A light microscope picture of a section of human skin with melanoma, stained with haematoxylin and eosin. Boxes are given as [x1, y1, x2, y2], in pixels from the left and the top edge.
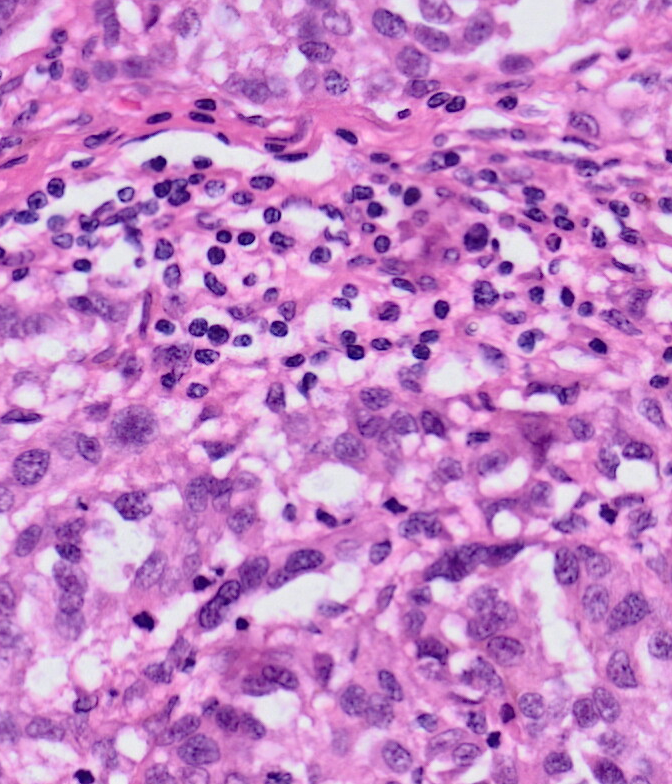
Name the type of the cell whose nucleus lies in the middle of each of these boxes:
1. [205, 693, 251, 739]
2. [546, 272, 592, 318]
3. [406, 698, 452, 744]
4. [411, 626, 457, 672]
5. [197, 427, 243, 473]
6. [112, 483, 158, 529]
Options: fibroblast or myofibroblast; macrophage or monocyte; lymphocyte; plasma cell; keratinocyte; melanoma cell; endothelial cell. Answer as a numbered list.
1. melanoma cell
2. lymphocyte
3. macrophage or monocyte
4. melanoma cell
5. melanoma cell
6. melanoma cell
